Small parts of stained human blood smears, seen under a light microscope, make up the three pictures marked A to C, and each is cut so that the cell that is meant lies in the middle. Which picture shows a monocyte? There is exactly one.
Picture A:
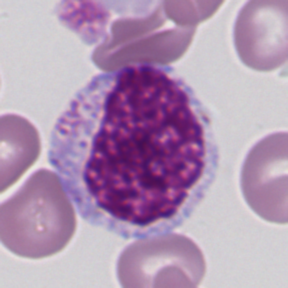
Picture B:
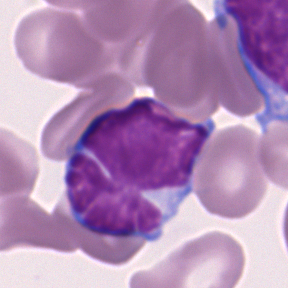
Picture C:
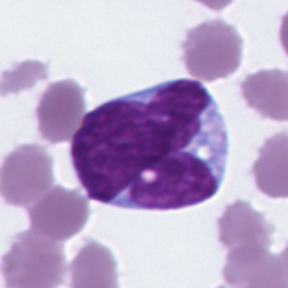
C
